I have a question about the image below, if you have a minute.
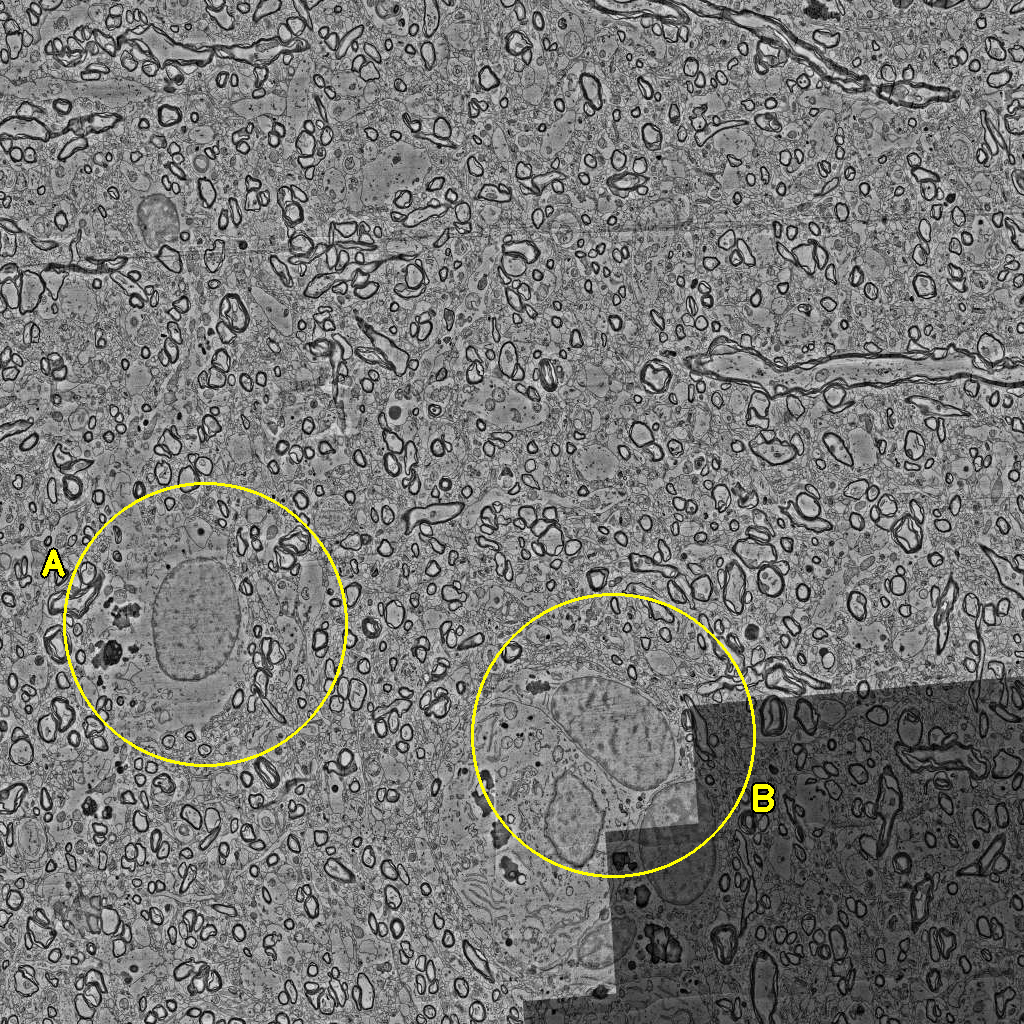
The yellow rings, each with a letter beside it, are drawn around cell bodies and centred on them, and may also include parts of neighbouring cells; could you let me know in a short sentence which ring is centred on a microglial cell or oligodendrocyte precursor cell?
Ring B is centred on it.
